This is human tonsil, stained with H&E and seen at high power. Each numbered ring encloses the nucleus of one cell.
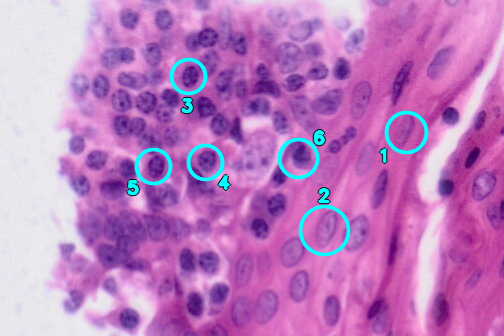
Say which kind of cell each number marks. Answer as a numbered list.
1. squamous epithelial cell
2. squamous epithelial cell
3. plasma cell
4. plasma cell
5. plasma cell
6. squamous epithelial cell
